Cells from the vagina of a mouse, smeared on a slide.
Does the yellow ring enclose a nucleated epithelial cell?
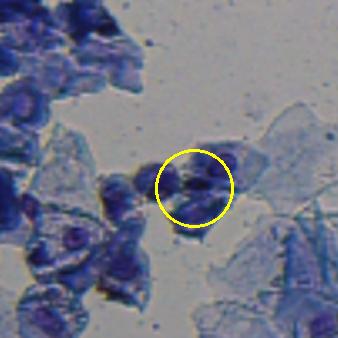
Yes. The ring encloses a nucleated epithelial cell.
